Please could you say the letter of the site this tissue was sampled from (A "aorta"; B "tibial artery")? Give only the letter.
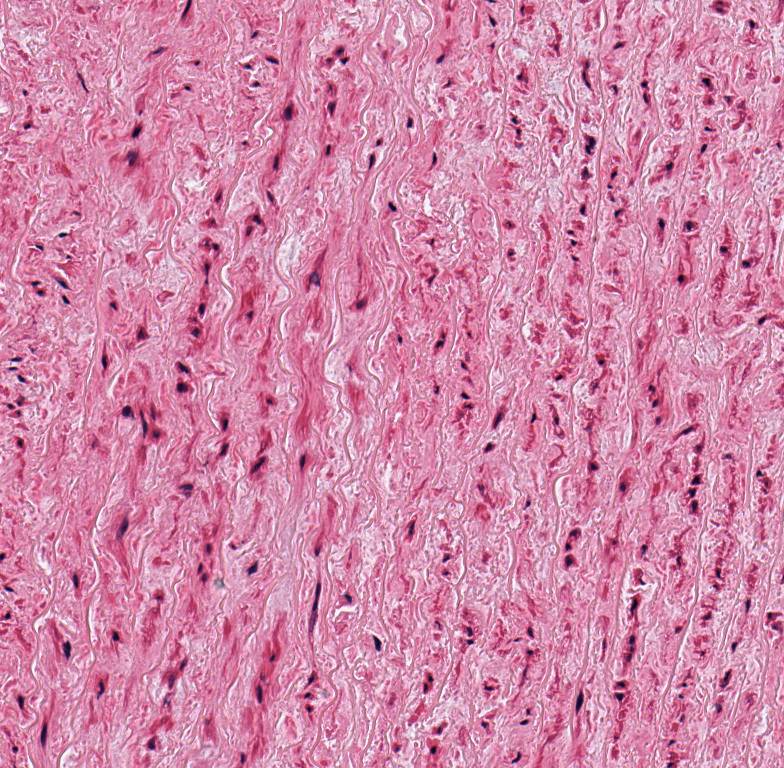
A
